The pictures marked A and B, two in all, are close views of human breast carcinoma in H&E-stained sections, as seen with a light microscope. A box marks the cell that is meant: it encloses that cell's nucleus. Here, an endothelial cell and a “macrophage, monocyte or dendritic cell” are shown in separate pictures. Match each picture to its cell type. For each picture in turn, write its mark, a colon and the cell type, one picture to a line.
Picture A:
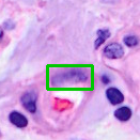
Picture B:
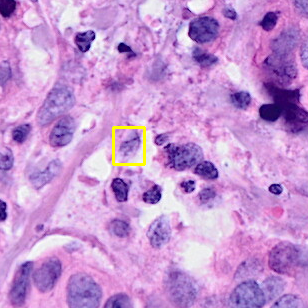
A: endothelial cell
B: macrophage, monocyte or dendritic cell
